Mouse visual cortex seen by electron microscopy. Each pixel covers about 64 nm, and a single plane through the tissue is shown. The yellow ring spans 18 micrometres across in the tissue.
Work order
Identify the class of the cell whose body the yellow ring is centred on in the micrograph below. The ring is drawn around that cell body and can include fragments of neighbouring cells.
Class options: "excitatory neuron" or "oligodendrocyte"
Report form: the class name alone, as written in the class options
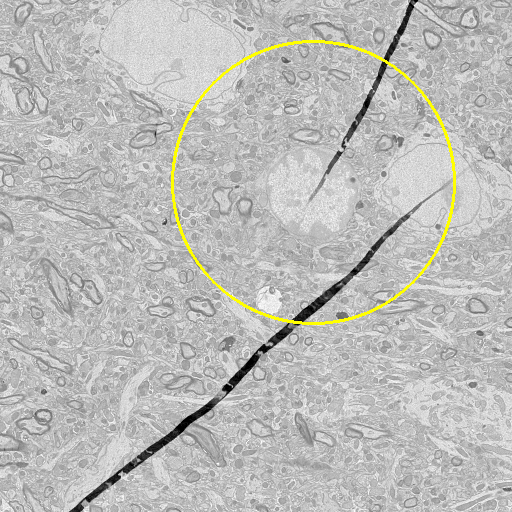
oligodendrocyte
